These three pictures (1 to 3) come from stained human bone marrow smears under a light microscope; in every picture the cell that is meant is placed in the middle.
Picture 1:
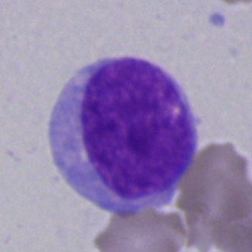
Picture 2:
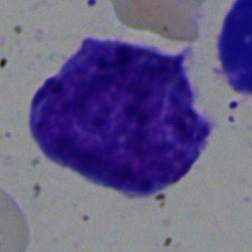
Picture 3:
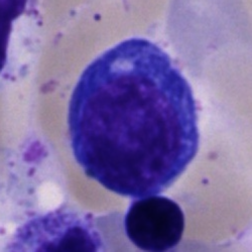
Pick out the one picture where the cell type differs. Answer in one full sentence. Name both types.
All pictures except 3 show blasts; picture 3 shows an erythroblast.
